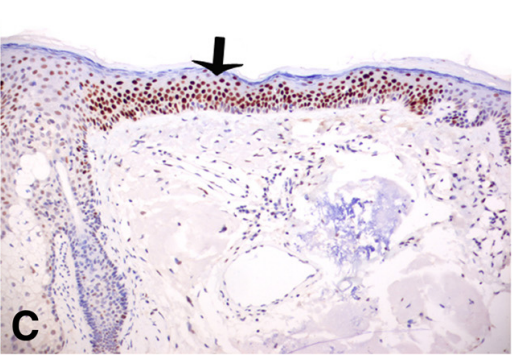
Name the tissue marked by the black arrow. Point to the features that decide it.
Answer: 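Epidermis. The arrow points to a stratified squamous surface layer with thin keratin on top. Many nuclei in its lower and middle layers are stained brown.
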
